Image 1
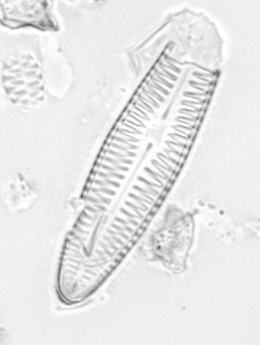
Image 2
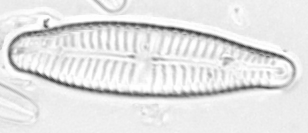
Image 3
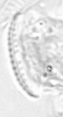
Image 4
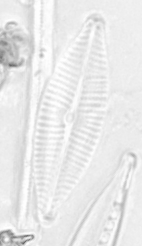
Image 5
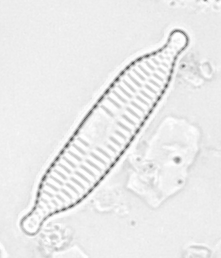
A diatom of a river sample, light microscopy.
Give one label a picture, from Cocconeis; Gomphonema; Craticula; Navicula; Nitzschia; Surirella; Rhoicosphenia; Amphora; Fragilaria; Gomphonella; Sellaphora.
1. Rhoicosphenia
2. Gomphonema
3. Amphora
4. Navicula
5. Fragilaria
